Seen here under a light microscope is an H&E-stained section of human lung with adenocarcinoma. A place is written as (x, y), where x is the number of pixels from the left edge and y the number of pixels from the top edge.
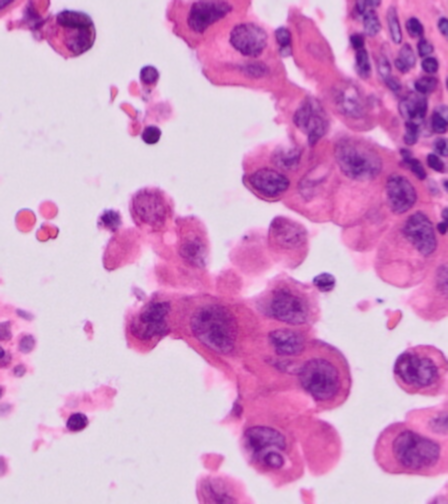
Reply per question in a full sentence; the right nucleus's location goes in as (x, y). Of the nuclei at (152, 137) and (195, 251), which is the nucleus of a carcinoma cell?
The nucleus at (195, 251) is attributed to a carcinoma cell, unlike the other nucleus.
